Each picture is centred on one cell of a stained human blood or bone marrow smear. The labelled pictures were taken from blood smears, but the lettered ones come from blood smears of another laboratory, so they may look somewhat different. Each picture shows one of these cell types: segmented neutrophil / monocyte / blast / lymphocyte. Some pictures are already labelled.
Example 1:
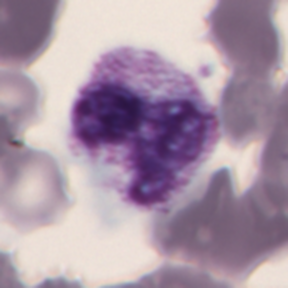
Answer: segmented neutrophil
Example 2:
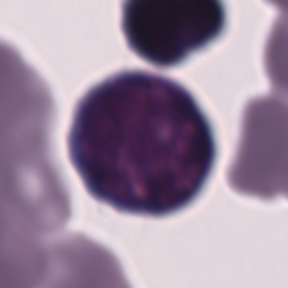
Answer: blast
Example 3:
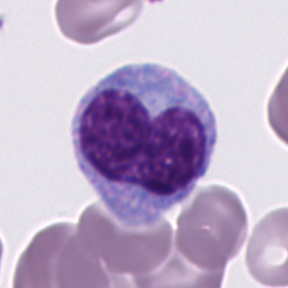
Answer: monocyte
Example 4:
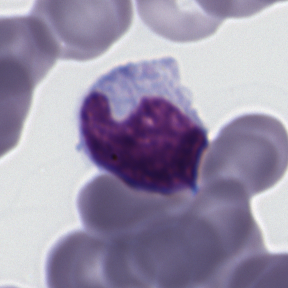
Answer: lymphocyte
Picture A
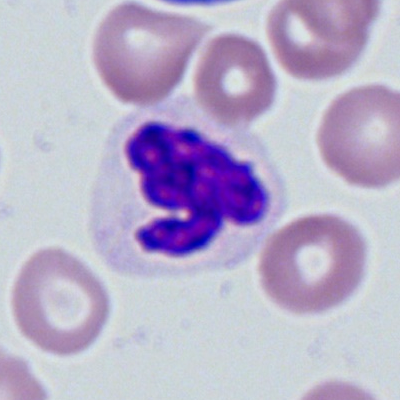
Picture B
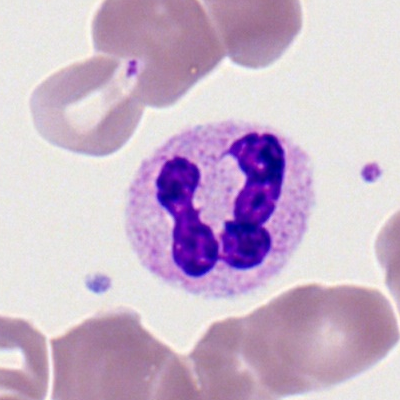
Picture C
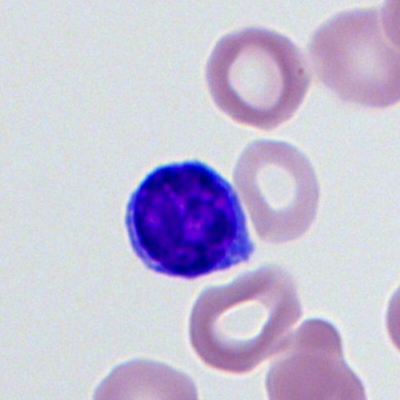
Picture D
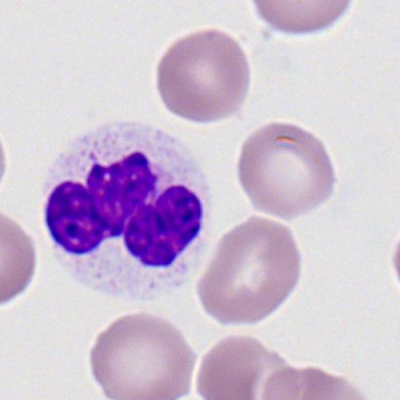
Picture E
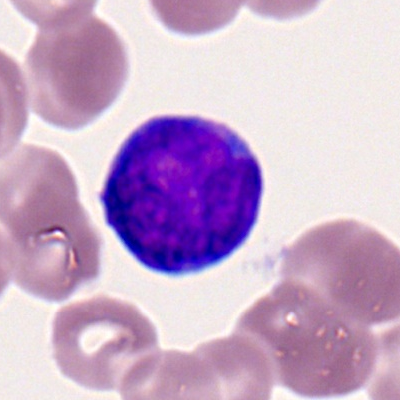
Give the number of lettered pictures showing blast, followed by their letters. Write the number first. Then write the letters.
1: E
